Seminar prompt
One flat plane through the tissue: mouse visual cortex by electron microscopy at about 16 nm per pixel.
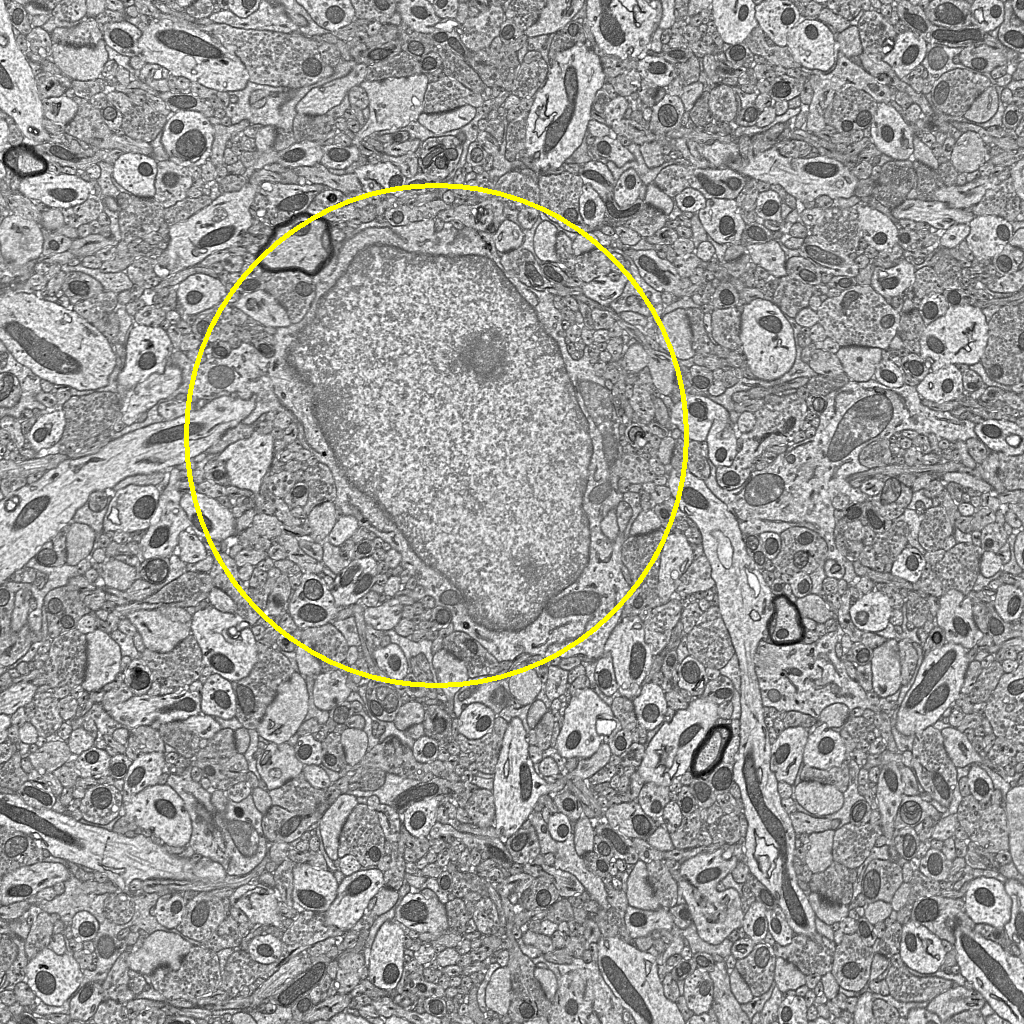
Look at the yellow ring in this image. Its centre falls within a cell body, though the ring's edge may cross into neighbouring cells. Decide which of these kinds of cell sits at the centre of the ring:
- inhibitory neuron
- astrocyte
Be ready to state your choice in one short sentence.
The kind of cell at the ring's centre is an astrocyte.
